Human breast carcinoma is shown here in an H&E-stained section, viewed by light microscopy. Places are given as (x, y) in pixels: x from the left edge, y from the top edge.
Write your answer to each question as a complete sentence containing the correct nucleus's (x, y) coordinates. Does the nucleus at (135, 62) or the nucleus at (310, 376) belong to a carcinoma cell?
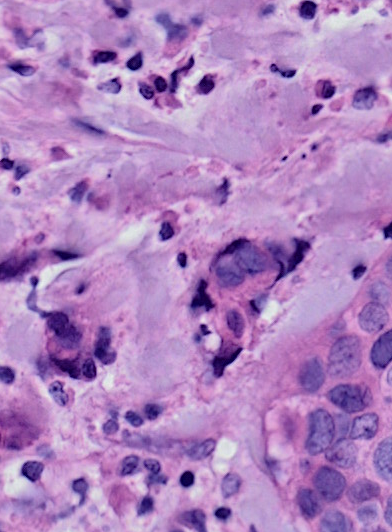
The cell to which the nucleus at (310, 376) belongs is a carcinoma cell.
